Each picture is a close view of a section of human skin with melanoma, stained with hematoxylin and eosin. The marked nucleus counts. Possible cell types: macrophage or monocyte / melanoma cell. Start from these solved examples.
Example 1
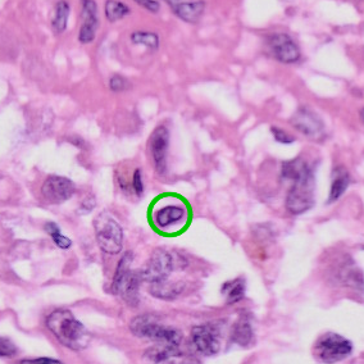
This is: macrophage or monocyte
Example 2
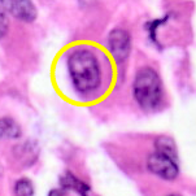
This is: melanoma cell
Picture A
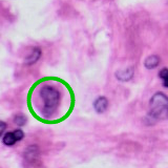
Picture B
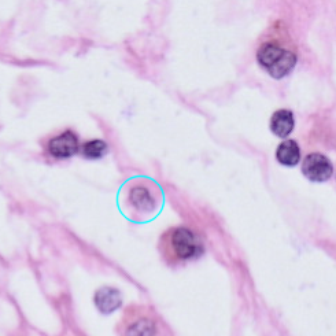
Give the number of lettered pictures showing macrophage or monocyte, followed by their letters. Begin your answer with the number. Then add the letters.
Count: 2 (A, B)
